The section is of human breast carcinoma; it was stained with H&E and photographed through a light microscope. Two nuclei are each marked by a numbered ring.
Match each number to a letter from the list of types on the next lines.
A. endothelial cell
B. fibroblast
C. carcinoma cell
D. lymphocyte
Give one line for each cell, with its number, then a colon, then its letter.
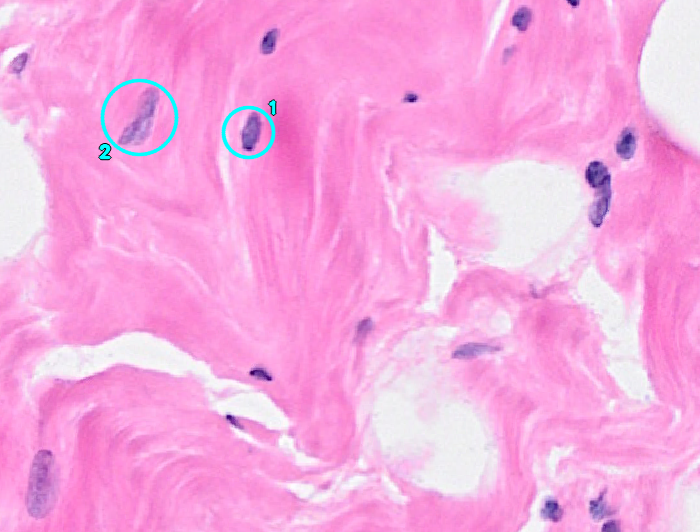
1: D
2: B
